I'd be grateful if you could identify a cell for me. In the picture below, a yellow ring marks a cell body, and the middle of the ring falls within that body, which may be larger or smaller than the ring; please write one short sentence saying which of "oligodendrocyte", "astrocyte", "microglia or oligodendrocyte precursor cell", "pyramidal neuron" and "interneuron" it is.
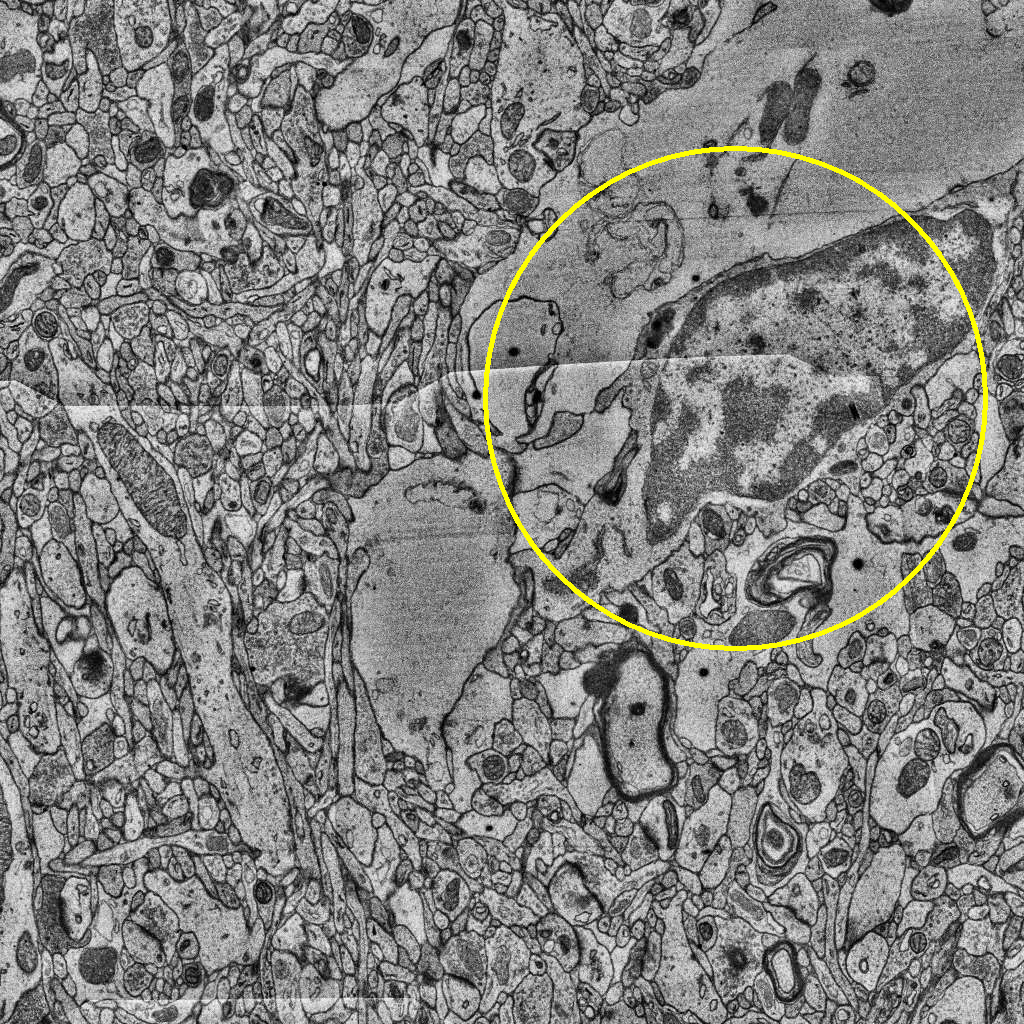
The cell under the ring's centre is a microglial cell or oligodendrocyte precursor cell.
